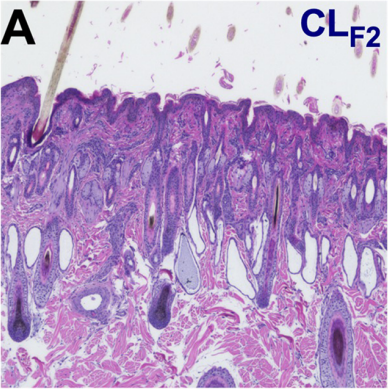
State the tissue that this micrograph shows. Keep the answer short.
Skin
